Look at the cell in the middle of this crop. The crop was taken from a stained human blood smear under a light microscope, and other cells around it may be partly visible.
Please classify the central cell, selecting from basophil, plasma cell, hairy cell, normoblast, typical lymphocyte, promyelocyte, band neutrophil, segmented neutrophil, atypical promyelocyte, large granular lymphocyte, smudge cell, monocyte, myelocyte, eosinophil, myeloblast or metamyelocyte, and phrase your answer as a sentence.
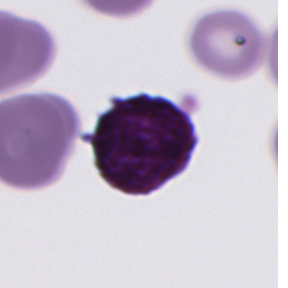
Present in the middle of the crop is a myeloblast.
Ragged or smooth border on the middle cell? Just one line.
Seen at its edge, the cell is not smooth but ragged or projecting.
